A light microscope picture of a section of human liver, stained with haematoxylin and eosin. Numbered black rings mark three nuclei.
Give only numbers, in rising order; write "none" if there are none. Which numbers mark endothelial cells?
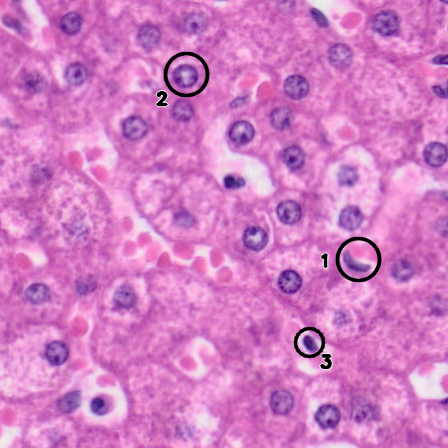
1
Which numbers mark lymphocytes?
3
